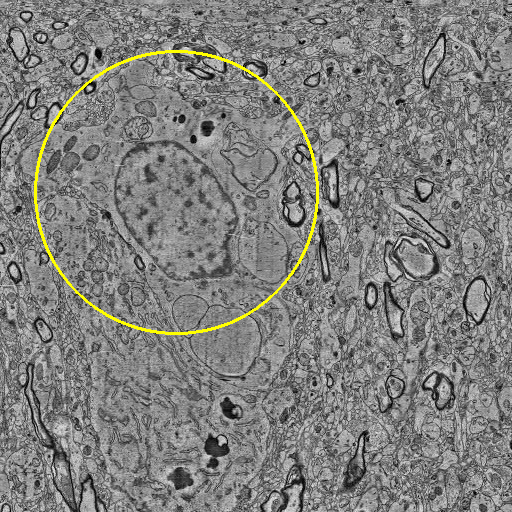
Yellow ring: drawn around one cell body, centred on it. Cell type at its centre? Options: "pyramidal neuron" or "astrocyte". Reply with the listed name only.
astrocyte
